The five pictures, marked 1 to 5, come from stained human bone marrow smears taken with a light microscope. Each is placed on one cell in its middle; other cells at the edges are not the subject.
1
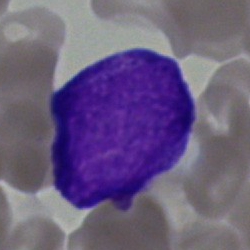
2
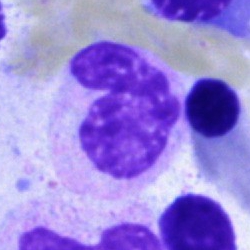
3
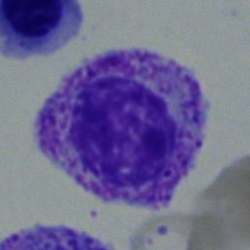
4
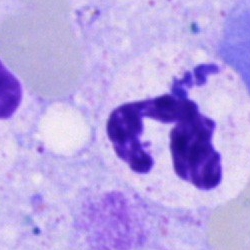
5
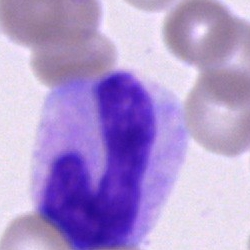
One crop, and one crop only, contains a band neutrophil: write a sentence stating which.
It is in crop 5, among all the crops, that a band neutrophil is present.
